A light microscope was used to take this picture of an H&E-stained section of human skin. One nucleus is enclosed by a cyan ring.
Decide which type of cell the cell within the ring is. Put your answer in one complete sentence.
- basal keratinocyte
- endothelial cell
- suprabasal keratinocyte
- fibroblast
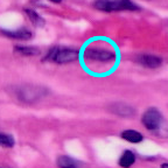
In cell-type terms, the cell within the ring is an endothelial cell.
